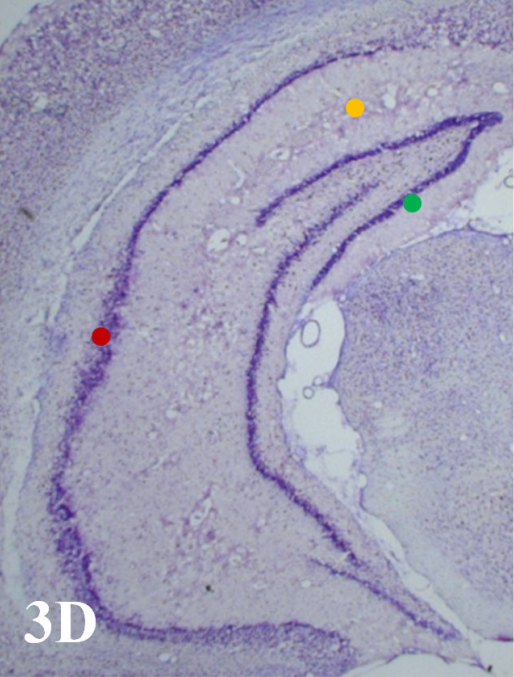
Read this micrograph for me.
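This section of the hippocampus shows a broad curved band of dark violet pyramidal cell bodies running along the outer side, with a thinner and denser band of granule cells folded into a narrow V inside it. Between the bands lie pale, sparsely celled layers with scattered small vessels. A pale space with vessels lies at the inner side of the fold, and more densely celled tissue surrounds the hippocampus.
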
